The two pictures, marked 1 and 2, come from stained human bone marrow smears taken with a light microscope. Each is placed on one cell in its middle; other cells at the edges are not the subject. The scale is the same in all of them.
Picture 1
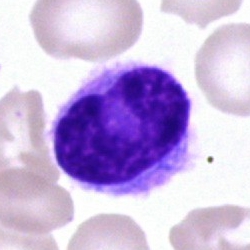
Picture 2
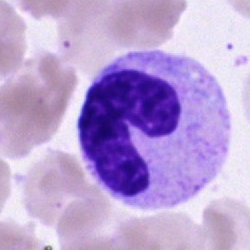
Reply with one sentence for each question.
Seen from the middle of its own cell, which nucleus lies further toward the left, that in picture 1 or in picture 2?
The nucleus in picture 2 lies further toward the left of its cell.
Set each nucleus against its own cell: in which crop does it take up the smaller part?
Of the two, the nucleus in picture 2 leaves more room for cytoplasm.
